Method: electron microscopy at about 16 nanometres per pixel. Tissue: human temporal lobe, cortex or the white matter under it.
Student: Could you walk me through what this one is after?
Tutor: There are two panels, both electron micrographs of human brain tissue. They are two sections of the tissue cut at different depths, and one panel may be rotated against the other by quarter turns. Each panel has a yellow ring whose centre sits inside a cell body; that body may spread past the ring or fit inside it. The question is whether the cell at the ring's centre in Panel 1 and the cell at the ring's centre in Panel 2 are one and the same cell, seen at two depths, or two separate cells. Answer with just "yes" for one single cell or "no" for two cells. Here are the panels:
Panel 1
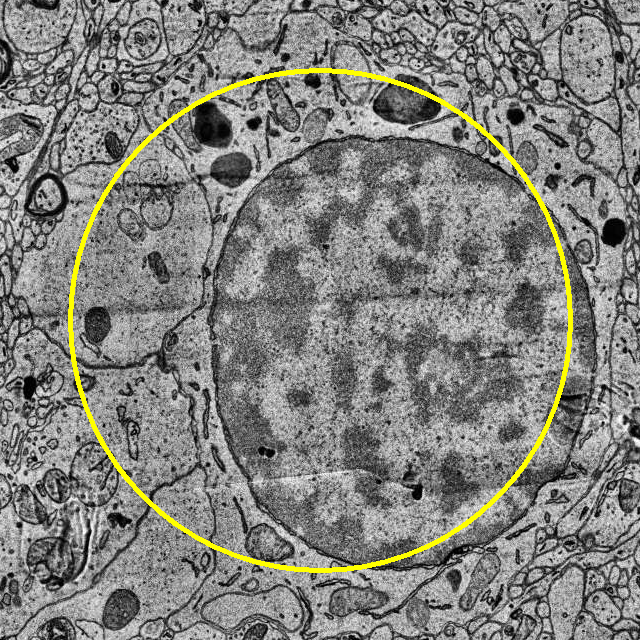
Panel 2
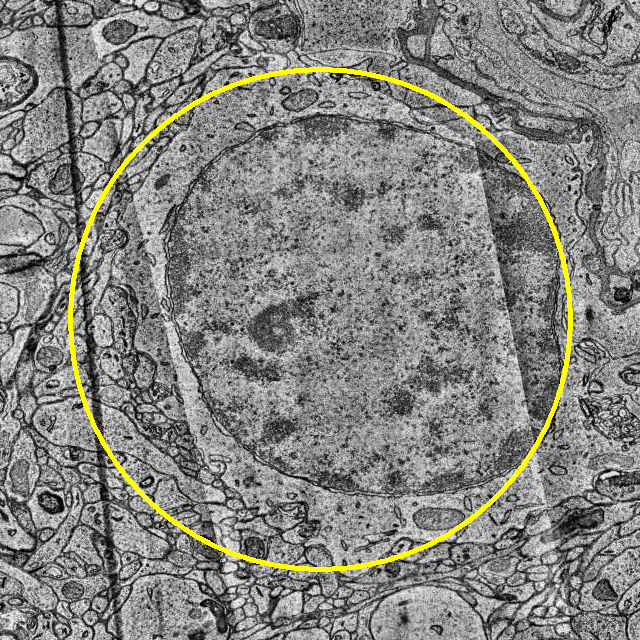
no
